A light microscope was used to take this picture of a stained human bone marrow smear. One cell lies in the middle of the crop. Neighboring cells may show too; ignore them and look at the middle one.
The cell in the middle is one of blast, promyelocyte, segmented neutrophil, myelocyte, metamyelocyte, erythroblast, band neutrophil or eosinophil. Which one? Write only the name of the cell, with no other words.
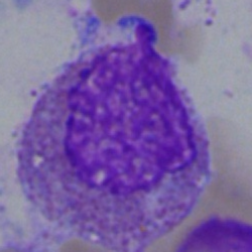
eosinophil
